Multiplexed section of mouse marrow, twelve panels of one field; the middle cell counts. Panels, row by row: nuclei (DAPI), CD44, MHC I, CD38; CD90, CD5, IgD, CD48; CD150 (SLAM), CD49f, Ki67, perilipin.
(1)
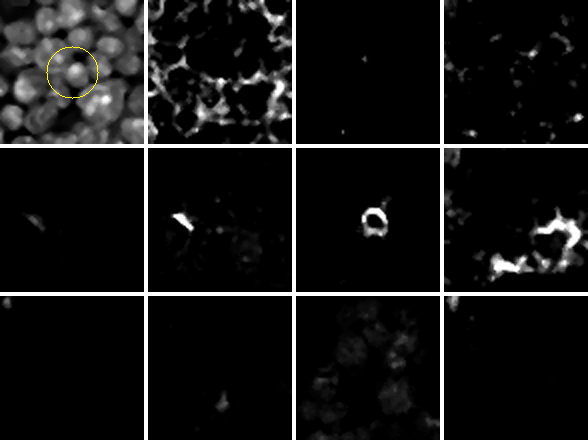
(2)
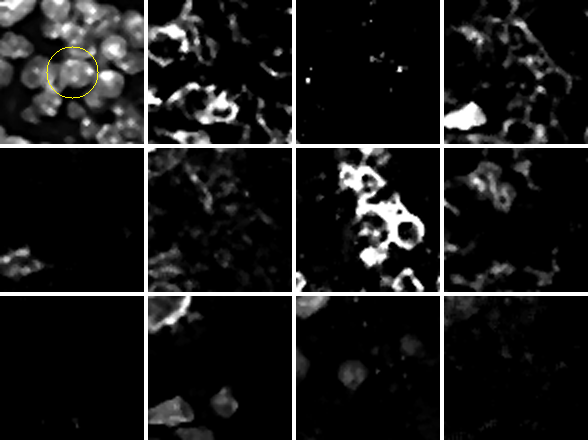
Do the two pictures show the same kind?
Yes, both are B cells.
